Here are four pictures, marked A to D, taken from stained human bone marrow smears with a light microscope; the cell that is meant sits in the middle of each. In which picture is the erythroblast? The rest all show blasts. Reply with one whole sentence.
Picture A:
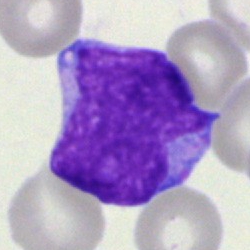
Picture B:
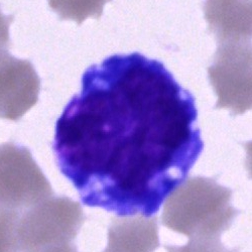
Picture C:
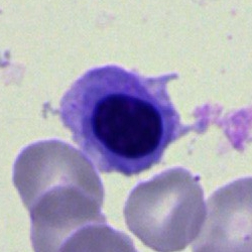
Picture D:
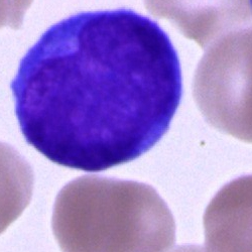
The erythroblast is the one in picture C.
